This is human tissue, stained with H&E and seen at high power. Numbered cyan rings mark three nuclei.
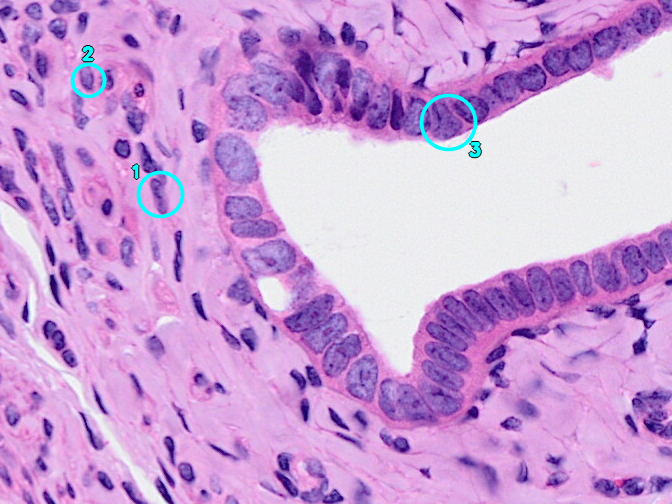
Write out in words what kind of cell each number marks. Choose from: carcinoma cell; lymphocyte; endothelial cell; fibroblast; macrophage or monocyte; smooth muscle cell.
Cell 1 is a smooth muscle cell, cell 2 is a smooth muscle cell and cell 3 is a carcinoma cell.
